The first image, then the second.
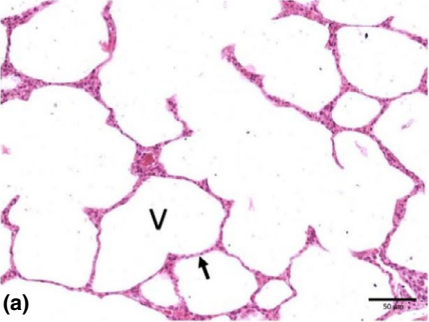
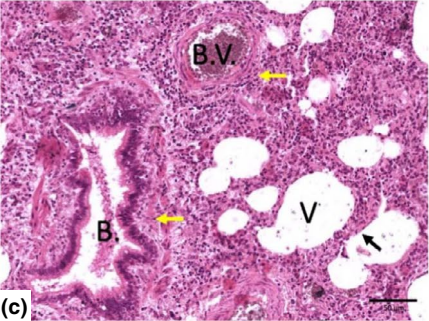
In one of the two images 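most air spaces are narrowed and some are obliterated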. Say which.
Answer: The second image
